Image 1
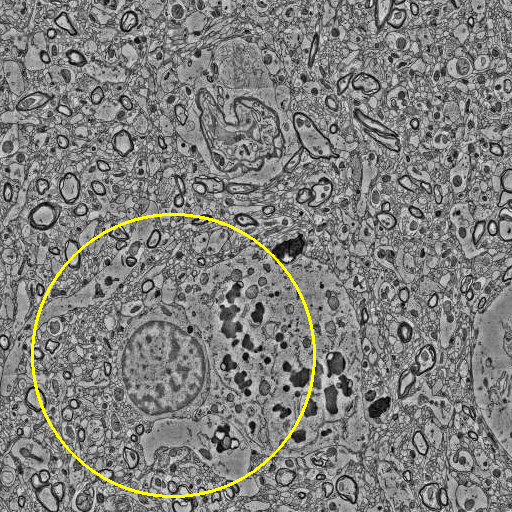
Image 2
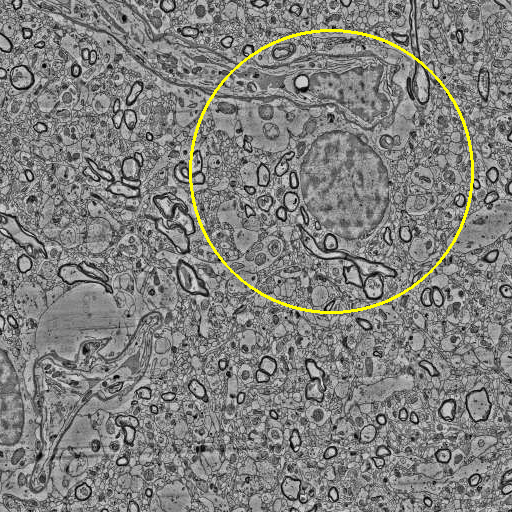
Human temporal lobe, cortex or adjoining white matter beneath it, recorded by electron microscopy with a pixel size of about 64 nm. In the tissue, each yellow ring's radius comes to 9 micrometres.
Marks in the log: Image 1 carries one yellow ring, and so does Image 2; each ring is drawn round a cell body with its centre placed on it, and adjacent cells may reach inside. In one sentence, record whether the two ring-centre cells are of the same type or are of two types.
The two cells at the ring centres, one in each image, are of the same type.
